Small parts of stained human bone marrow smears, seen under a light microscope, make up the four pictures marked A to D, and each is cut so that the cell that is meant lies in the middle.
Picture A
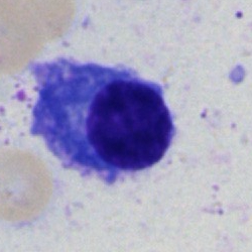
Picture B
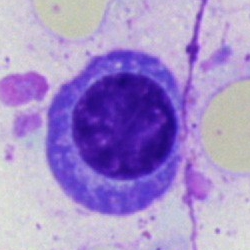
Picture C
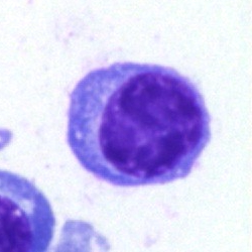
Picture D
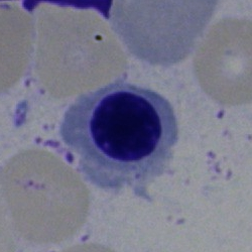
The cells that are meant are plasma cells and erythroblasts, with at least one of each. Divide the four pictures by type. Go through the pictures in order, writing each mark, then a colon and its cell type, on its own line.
A: plasma cell
B: plasma cell
C: plasma cell
D: erythroblast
